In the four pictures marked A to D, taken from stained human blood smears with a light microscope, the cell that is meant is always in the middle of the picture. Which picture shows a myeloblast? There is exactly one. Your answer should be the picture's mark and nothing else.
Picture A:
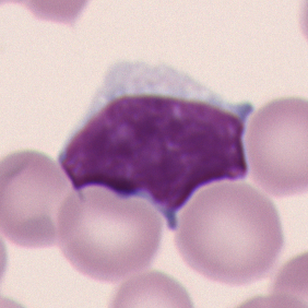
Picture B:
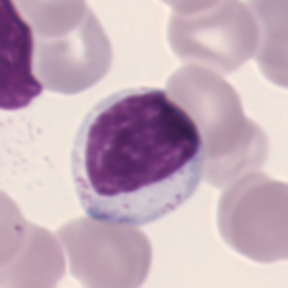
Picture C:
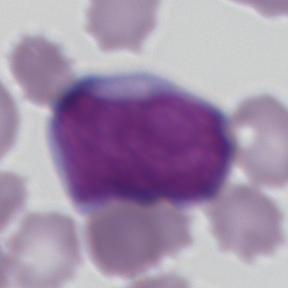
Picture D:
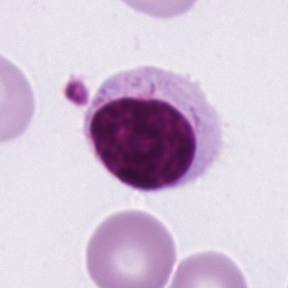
C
